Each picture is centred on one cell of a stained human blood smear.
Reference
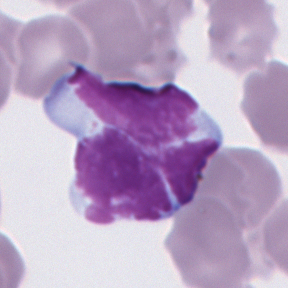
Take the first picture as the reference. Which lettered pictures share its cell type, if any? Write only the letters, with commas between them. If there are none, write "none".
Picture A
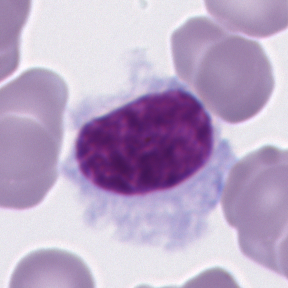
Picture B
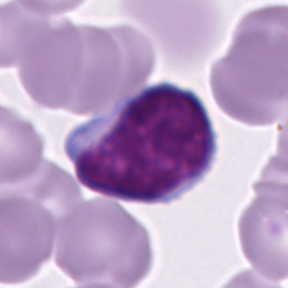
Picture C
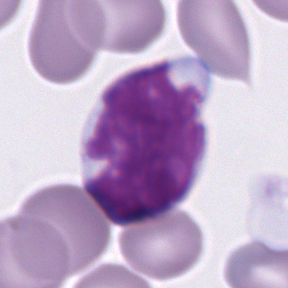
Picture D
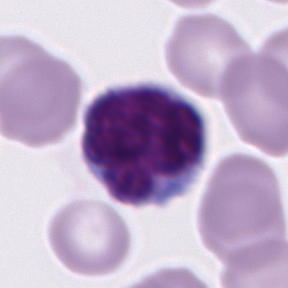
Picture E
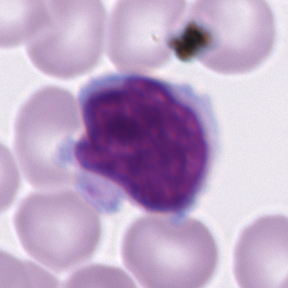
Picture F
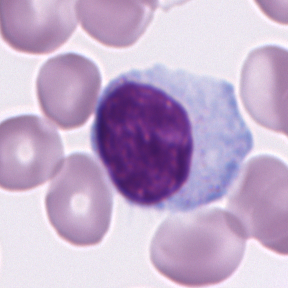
B, C, D, E, F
